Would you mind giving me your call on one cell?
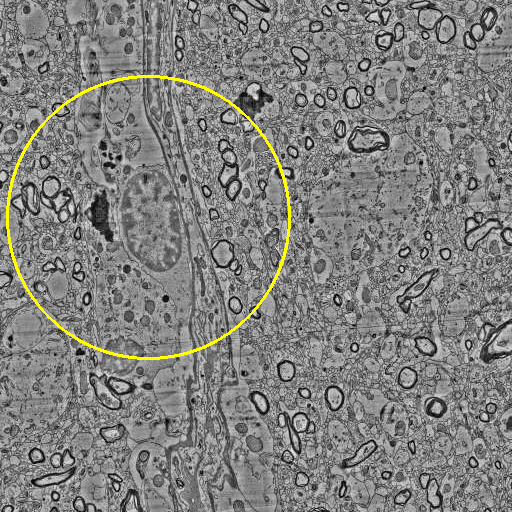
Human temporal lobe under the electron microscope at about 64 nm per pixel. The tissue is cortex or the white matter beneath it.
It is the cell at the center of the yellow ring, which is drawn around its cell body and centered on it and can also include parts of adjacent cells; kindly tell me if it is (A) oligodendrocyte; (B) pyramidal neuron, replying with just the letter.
A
